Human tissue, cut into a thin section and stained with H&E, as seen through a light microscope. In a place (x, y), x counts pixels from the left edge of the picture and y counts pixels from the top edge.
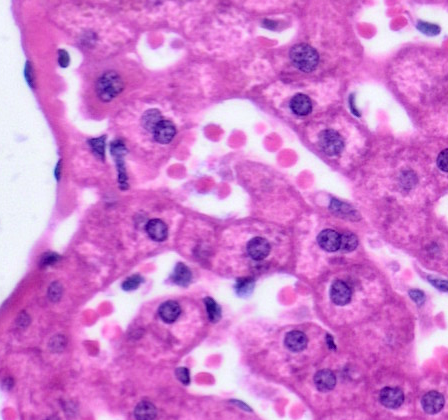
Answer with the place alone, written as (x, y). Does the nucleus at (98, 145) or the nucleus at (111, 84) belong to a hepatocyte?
(111, 84)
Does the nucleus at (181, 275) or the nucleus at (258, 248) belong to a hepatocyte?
(258, 248)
